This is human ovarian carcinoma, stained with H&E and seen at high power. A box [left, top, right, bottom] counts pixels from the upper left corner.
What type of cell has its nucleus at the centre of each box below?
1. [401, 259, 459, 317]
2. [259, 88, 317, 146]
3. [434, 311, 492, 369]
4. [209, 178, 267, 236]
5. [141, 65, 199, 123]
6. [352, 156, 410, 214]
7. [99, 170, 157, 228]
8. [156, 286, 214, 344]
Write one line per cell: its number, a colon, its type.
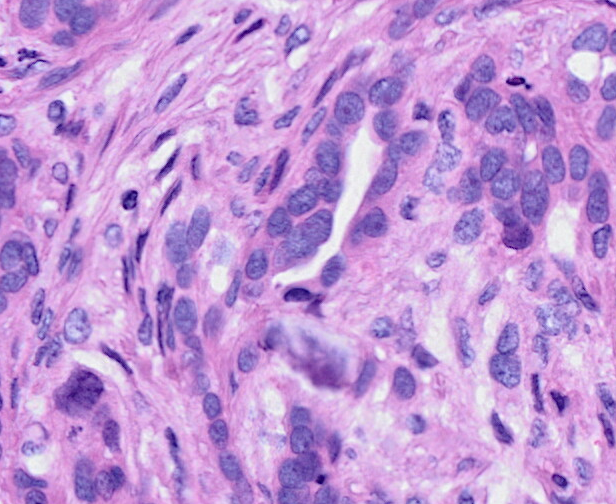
1: fibroblast
2: fibroblast
3: fibroblast
4: fibroblast
5: fibroblast
6: carcinoma cell
7: lymphocyte
8: carcinoma cell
